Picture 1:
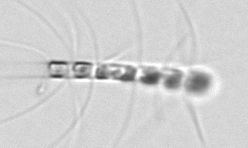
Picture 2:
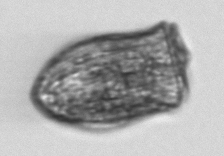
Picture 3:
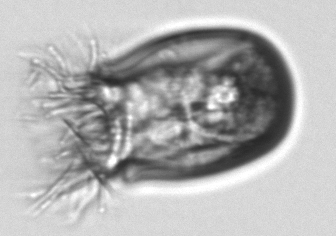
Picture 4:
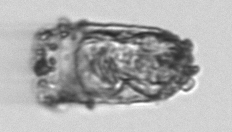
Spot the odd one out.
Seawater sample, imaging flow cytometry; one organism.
Picture 1 (Chaetoceros among tintinnids).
